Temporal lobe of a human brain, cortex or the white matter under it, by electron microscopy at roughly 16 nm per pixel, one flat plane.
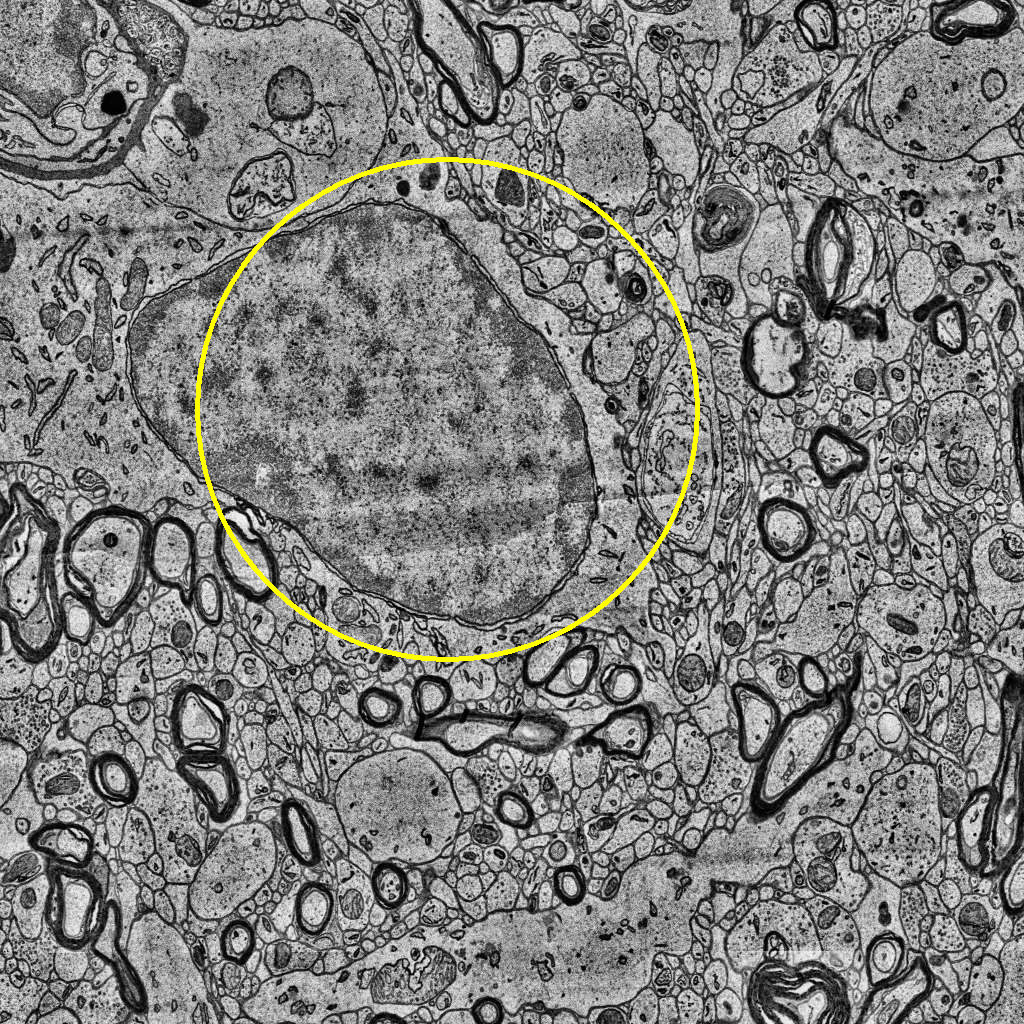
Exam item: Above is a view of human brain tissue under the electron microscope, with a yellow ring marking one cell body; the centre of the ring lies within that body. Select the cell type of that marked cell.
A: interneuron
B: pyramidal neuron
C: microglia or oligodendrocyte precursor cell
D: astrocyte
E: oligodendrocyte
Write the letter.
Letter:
C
